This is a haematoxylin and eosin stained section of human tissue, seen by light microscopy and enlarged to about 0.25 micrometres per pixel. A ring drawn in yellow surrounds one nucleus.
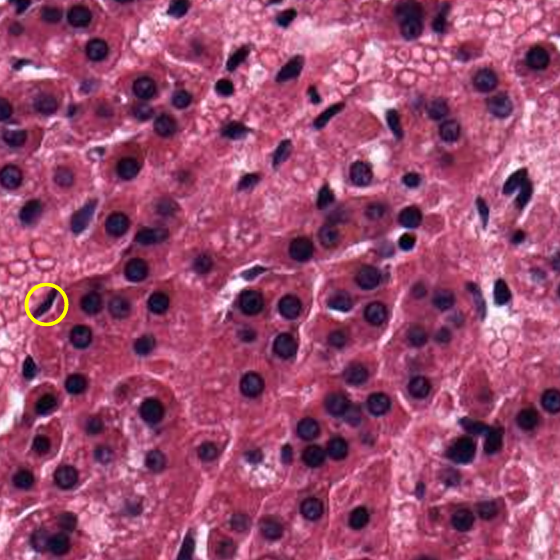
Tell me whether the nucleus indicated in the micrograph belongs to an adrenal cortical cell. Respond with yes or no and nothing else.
no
